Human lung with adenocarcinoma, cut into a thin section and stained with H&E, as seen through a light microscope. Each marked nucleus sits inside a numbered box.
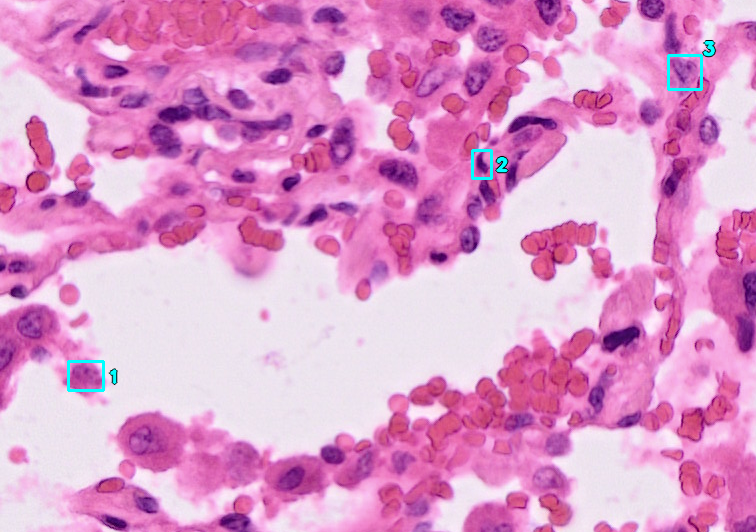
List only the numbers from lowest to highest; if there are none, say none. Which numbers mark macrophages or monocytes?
1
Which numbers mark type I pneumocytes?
3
